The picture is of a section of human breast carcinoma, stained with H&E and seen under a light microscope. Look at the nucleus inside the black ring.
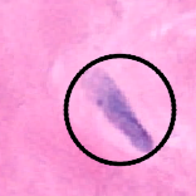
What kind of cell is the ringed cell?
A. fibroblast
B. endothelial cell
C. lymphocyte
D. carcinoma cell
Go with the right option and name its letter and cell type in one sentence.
The correct pick is option A; the ringed cell is a fibroblast.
